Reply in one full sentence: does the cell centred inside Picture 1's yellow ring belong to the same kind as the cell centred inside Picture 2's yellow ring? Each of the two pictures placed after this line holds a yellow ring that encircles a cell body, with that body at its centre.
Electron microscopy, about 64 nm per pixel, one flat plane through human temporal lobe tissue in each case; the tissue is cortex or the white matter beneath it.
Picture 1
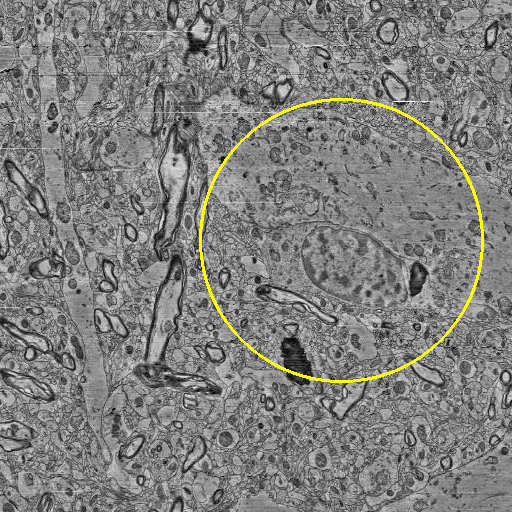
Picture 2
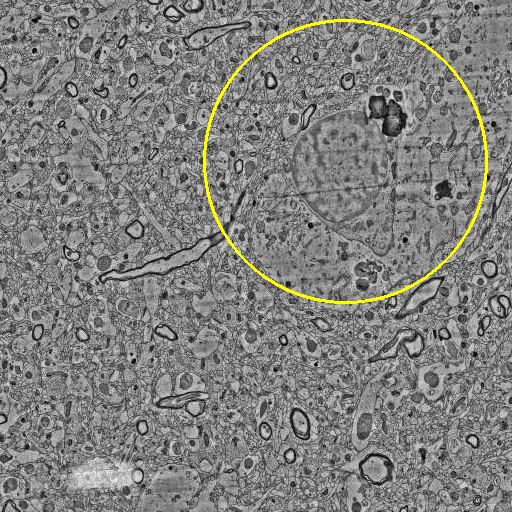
Yes, the ring-centred cells in Picture 1 and Picture 2 are of one and the same kind.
